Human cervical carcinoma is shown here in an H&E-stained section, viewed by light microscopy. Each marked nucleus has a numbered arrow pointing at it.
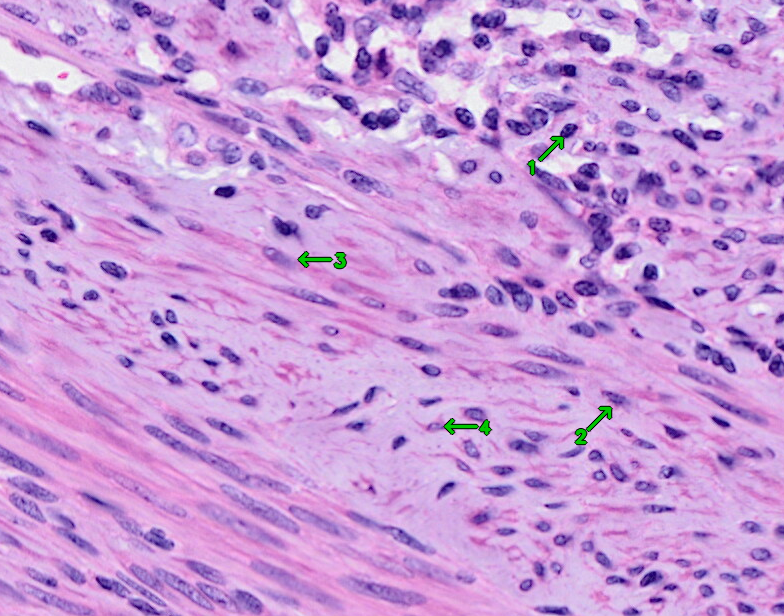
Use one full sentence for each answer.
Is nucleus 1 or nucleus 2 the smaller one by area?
Nucleus 1 covers less area, with nucleus 2 about 1.5 times as large.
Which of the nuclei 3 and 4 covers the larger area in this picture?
It is nucleus 3, which covers about 3 times the area of nucleus 4.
